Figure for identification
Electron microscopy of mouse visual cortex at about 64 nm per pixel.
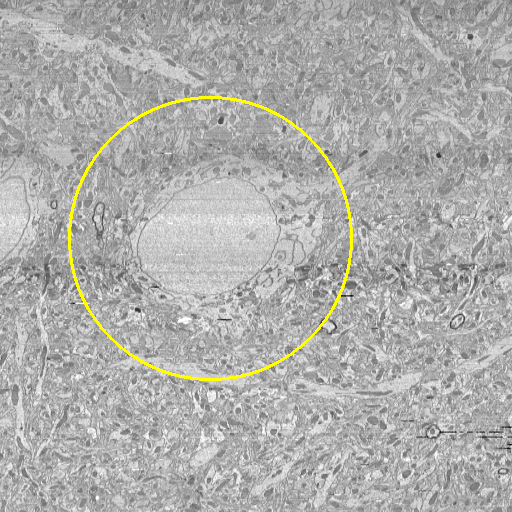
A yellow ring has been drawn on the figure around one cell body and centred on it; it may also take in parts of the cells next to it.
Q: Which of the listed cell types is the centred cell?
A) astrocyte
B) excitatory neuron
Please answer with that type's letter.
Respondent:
B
